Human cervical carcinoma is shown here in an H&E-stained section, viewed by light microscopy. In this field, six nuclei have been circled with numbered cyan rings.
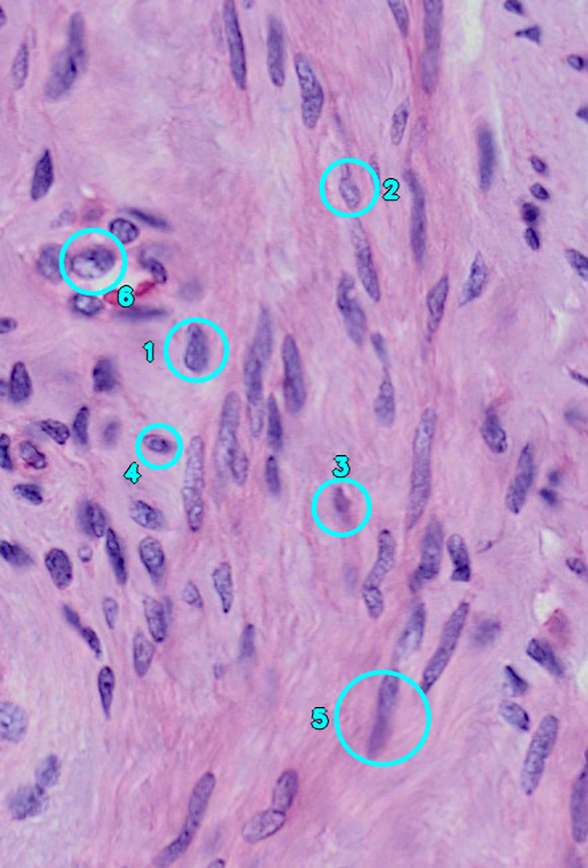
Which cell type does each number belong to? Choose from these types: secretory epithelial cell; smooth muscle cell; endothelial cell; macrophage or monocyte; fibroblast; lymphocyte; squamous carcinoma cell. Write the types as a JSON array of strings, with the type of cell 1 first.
["fibroblast", "smooth muscle cell", "smooth muscle cell", "smooth muscle cell", "fibroblast", "endothelial cell"]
